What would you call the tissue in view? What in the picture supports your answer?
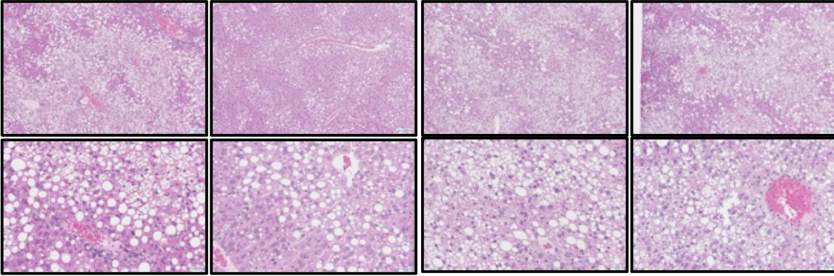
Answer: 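Sheets of polygonal cells with round central nuclei and pink cytoplasm. Many round clear vacuoles of varying size inside the cells. Vessels containing red blood cells lie among the cell sheets.
Answer: liver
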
